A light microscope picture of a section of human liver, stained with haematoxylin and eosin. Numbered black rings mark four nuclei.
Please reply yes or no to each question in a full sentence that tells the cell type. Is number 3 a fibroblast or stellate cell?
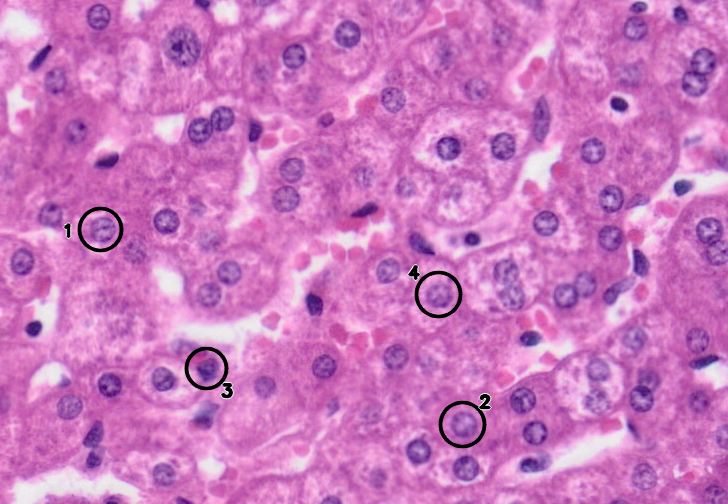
Yes, it checks out; the cell labelled 3 is a fibroblast or stellate cell.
